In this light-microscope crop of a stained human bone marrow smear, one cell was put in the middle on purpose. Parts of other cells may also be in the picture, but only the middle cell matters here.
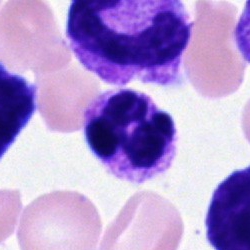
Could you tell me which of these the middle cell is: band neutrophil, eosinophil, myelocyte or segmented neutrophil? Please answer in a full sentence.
The middle cell in this particular crop is a segmented neutrophil.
